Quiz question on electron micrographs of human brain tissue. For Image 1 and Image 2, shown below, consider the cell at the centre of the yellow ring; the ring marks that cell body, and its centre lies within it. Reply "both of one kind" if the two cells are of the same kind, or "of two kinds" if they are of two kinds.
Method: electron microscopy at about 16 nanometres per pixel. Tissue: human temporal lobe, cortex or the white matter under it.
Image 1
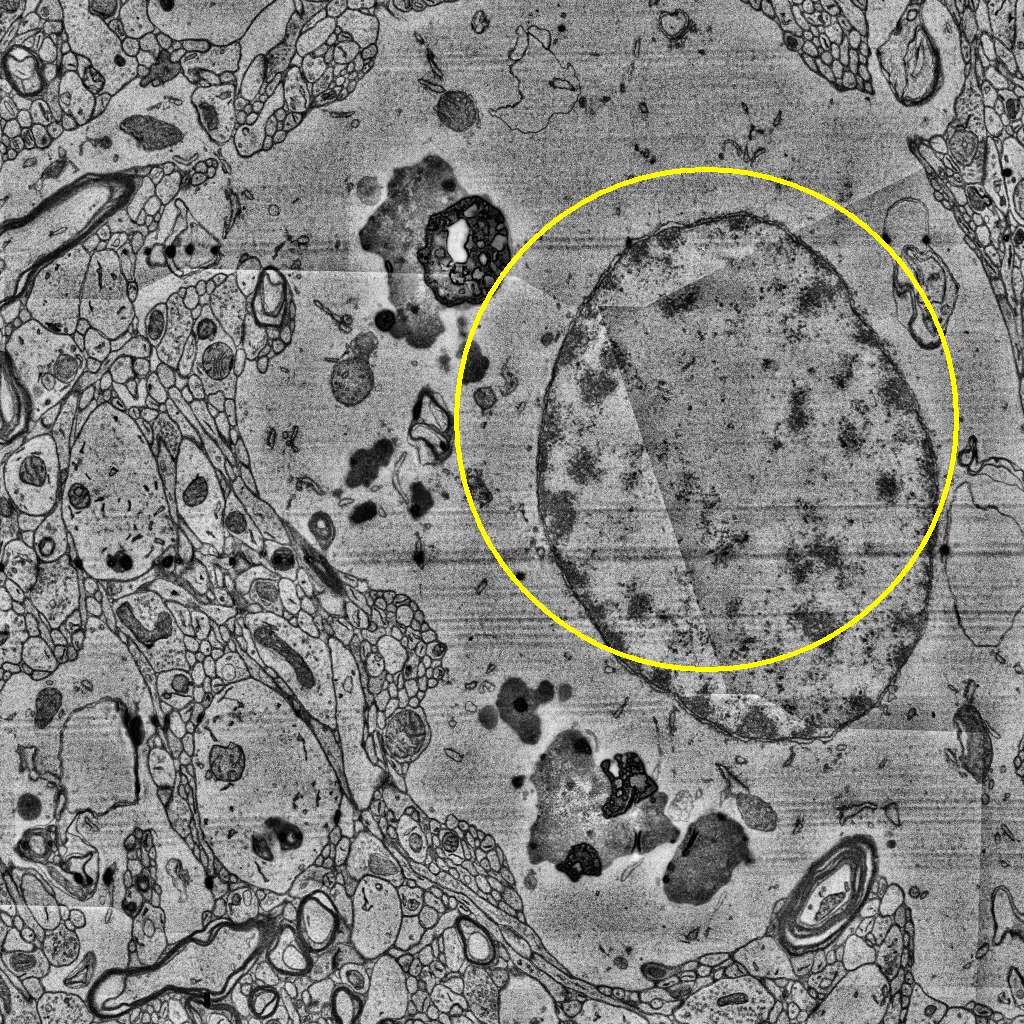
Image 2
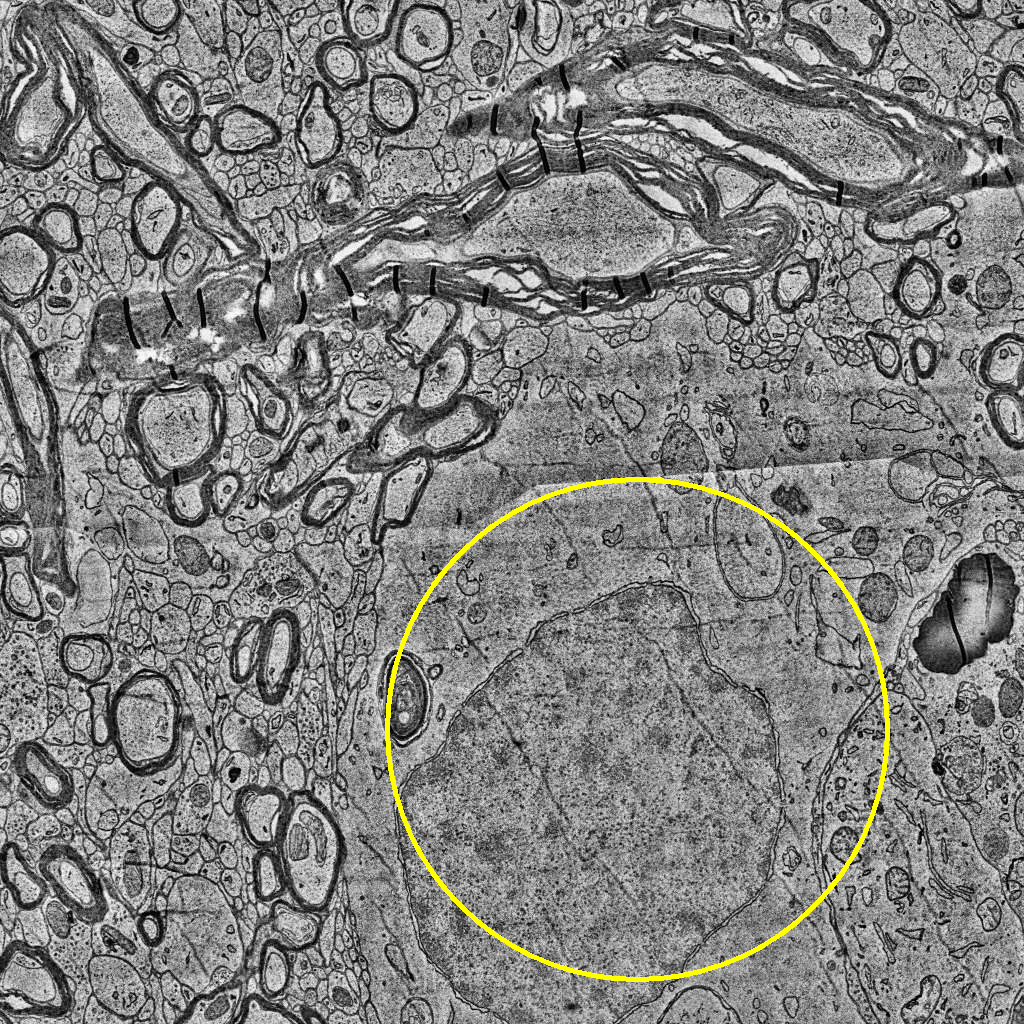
both of one kind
